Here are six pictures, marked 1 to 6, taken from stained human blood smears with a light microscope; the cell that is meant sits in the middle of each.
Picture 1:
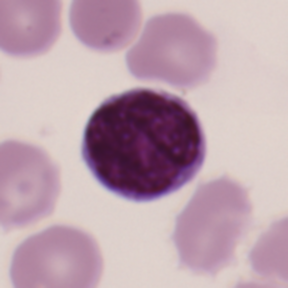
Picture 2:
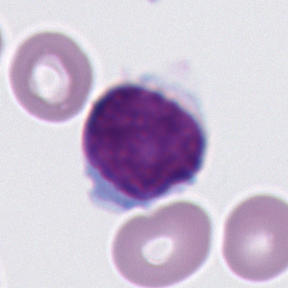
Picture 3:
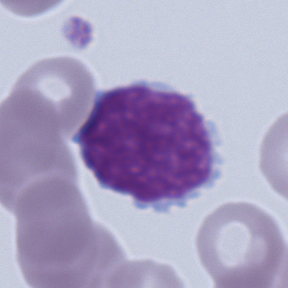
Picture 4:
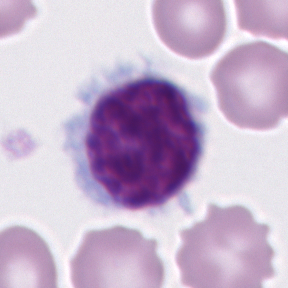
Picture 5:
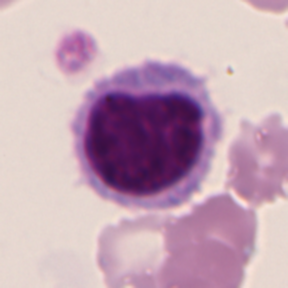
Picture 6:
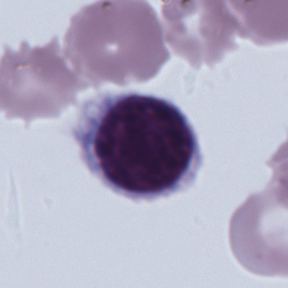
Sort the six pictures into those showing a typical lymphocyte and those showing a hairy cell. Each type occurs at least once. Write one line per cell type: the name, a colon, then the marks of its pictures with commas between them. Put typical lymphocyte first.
typical lymphocyte: 1, 2, 3
hairy cell: 4, 5, 6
